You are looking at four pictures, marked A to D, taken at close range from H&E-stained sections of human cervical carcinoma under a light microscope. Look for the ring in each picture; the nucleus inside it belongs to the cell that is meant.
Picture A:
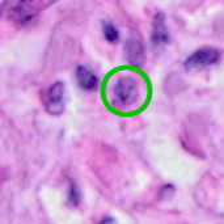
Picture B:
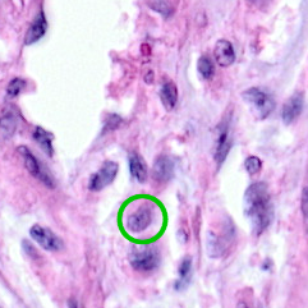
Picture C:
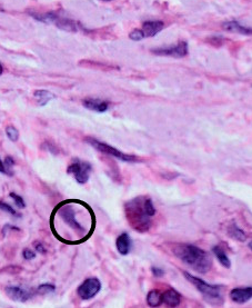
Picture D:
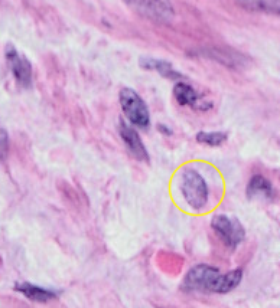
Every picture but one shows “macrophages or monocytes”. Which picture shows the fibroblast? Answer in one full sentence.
Picture C shows the fibroblast.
